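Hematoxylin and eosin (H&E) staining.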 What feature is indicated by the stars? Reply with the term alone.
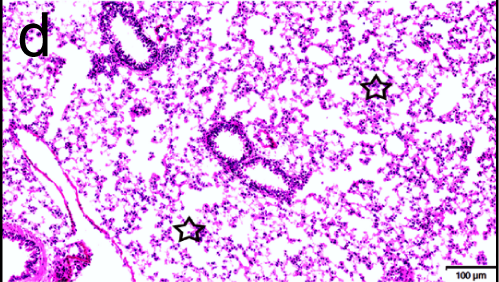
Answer: normal inflated alveoli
